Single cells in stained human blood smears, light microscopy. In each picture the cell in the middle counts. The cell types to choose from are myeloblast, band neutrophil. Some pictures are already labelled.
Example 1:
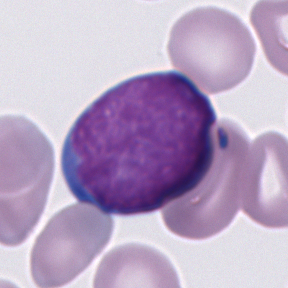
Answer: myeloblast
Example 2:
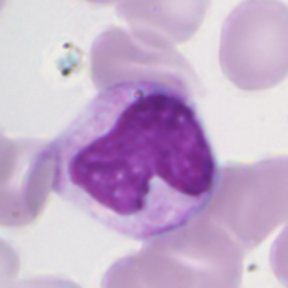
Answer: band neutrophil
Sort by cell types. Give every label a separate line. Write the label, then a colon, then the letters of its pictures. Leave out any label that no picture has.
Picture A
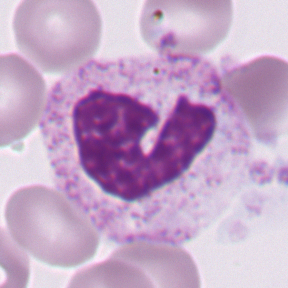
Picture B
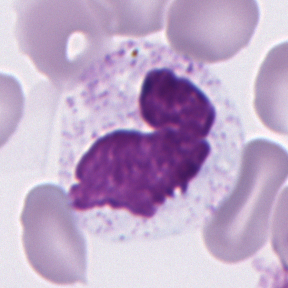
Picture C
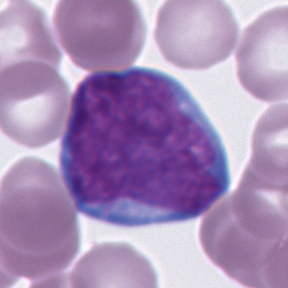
myeloblast: C
band neutrophil: A, B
